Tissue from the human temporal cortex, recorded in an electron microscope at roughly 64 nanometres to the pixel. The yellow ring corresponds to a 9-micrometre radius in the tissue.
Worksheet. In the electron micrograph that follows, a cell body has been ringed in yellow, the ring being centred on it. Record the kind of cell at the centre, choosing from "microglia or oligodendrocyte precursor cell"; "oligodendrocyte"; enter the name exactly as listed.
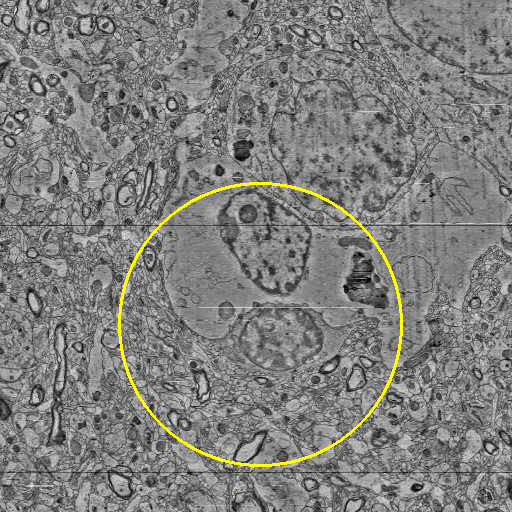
oligodendrocyte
